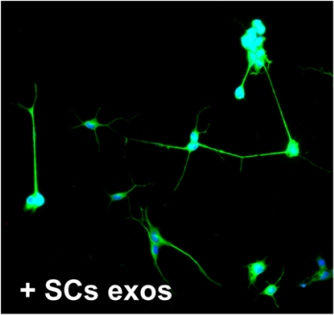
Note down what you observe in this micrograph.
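Cultured neurons are scattered sparsely on a dark background, each with a small green cell body and a blue nucleus. Most cell bodies are small and rounded or spindle-shaped, and many give rise to long, thin green neurites that extend several cell-body lengths across the field. Some neurites branch, and a few run between neighbouring cells, appearing to connect them. One small cluster of rounded cell bodies lies in the upper part of the field. Other cells have shorter, finer processes. The neurites are slender and of even calibre along most of their length.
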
